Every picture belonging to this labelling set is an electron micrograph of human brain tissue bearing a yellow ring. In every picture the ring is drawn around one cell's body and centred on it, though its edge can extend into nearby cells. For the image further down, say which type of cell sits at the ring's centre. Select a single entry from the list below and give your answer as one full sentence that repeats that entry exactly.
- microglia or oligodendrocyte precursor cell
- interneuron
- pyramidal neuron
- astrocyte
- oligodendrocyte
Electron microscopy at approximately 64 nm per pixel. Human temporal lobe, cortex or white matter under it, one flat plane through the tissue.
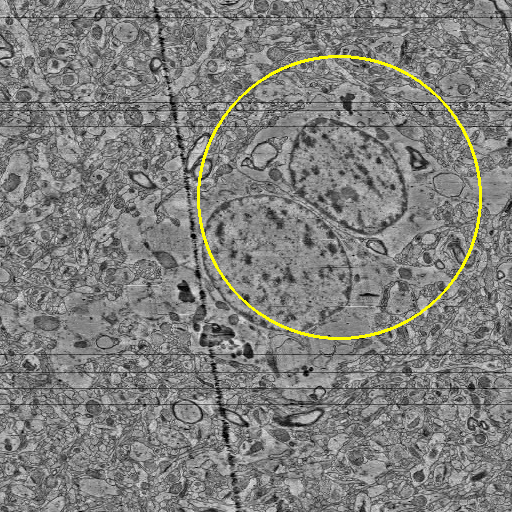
In the picture, an astrocyte is the cell at the centre of the yellow ring.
